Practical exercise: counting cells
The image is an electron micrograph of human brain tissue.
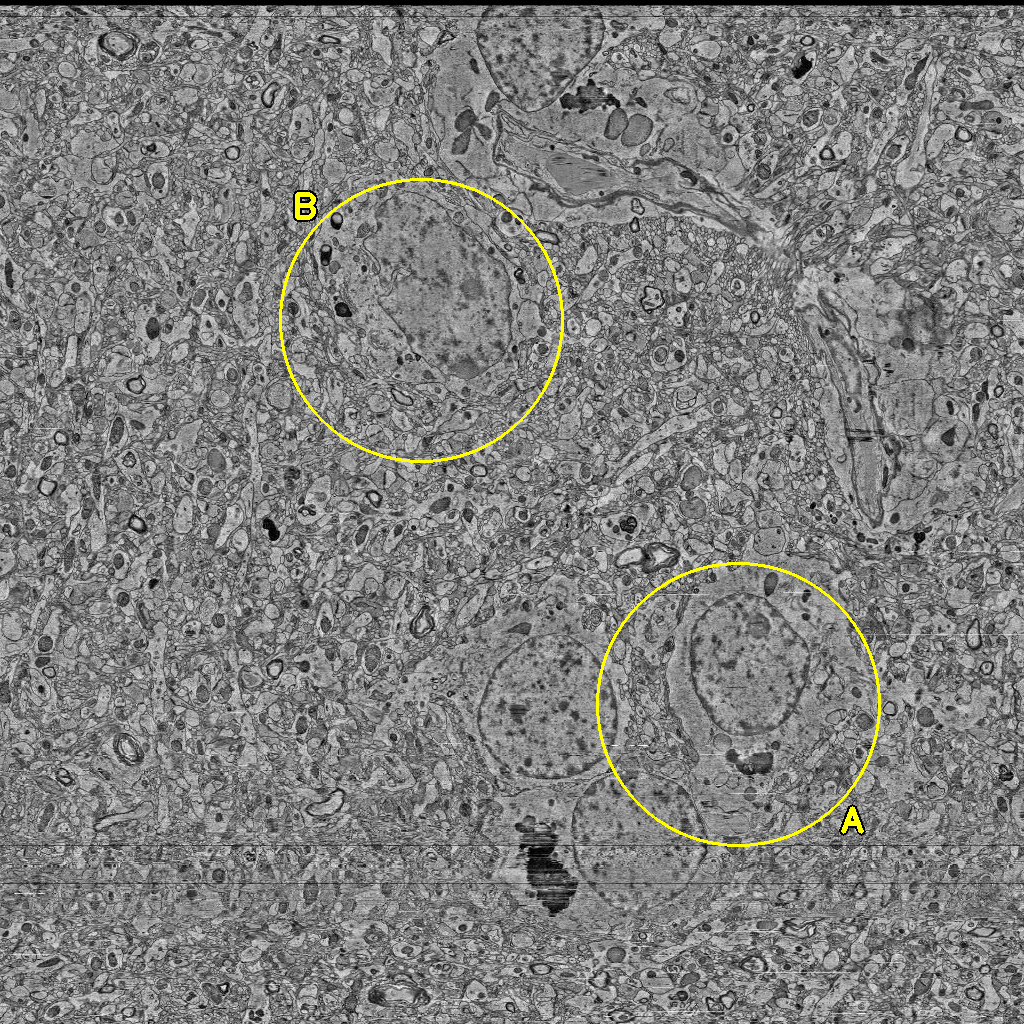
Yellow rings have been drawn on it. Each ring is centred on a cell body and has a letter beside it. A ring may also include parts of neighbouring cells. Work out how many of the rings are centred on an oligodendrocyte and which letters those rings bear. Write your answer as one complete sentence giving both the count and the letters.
The number of rings centred on an oligodendrocyte is zero.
